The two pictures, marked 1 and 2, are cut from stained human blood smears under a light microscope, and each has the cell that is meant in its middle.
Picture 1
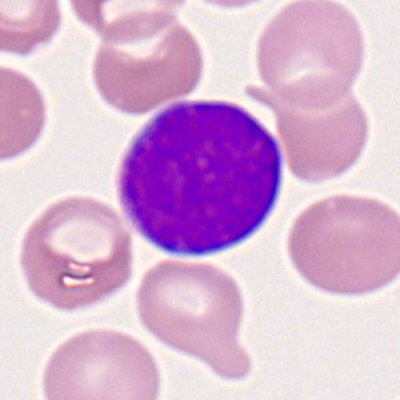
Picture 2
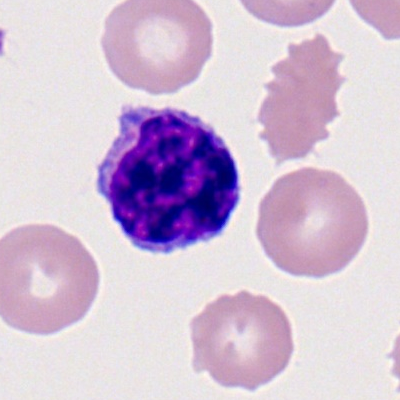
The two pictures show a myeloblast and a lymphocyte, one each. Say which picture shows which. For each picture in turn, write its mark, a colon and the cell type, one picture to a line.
1: myeloblast
2: lymphocyte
